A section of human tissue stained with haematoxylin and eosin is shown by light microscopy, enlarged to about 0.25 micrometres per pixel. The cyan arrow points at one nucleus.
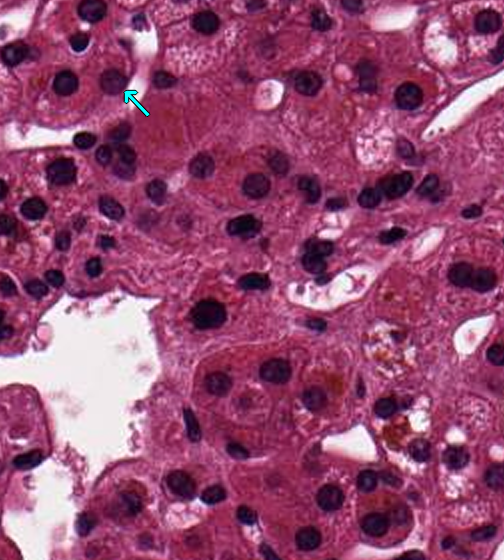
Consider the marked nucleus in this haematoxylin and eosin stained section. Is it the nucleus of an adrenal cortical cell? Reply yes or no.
yes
